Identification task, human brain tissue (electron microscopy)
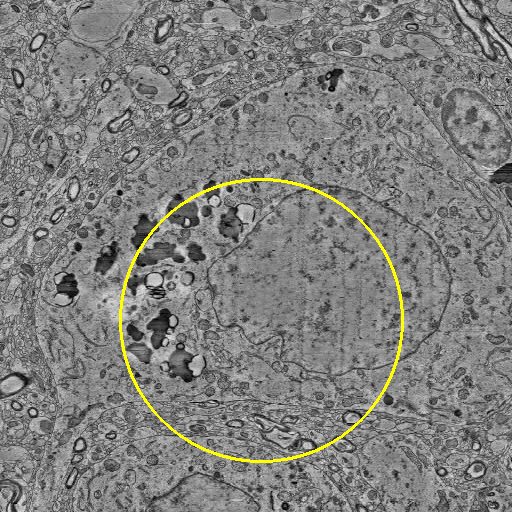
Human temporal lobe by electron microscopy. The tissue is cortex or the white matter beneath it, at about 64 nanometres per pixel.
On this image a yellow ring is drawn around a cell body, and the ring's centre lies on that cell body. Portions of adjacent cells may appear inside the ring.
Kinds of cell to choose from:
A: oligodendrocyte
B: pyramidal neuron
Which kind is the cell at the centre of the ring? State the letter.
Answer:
B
